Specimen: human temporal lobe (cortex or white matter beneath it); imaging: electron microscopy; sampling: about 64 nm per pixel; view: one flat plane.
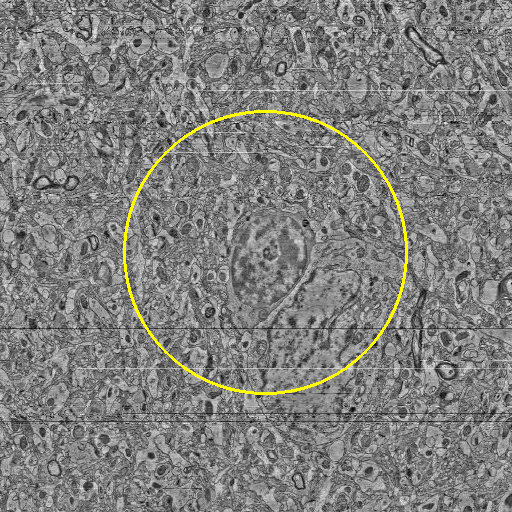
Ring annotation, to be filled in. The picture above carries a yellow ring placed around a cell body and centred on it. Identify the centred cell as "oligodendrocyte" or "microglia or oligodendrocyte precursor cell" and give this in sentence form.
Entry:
The cell in the middle of the ring is an oligodendrocyte.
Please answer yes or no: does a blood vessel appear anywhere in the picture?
No, there is no blood vessel.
